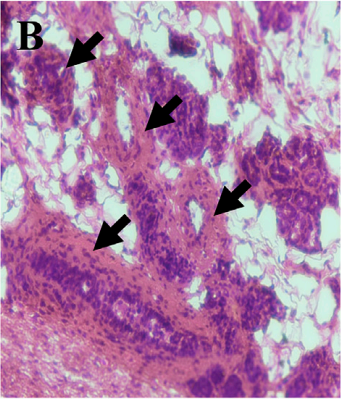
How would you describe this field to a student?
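This is mammary tissue in which the glandular parts, acini and ductules, are crowded with deep purple epithelial cells between pale empty fat cells. Many irregular clusters of tightly packed cells with dark nuclei are scattered through the fat, far more than the sparse glands one would expect. A long duct at the bottom is lined by several layers of cells, leaving only a narrow lumen, and is wrapped in a thick band of pink fibrous tissue. The nuclei are dark and crowded throughout the epithelium. Together this reads as excessive proliferation of the epithelial lining of acini and ductules with hyperchromatic nuclei.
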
